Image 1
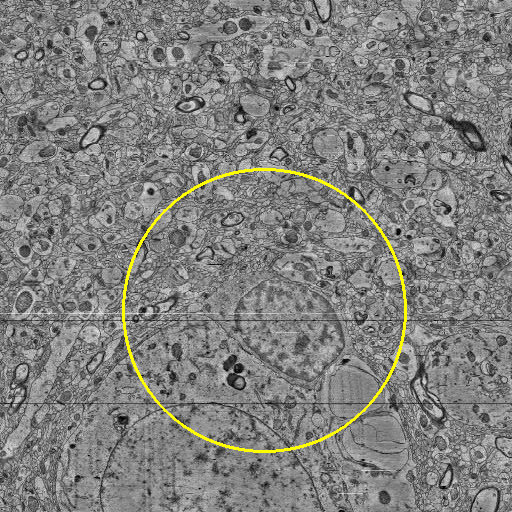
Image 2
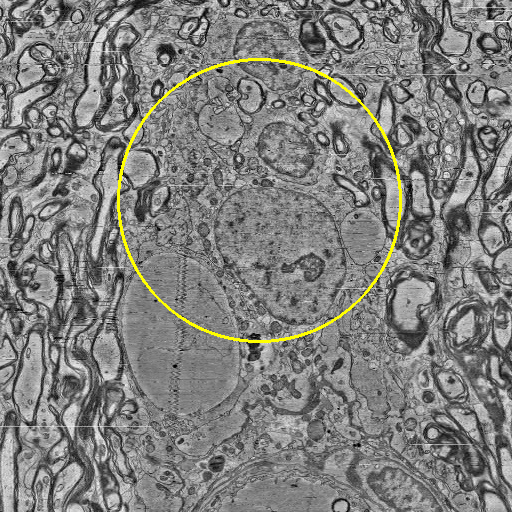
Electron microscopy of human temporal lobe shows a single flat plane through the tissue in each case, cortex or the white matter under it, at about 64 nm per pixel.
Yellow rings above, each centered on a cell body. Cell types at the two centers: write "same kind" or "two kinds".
two kinds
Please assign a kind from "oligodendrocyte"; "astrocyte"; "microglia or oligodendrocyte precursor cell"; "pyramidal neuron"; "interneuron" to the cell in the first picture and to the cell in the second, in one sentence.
In the first picture we have an oligodendrocyte, and in the second, an astrocyte.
